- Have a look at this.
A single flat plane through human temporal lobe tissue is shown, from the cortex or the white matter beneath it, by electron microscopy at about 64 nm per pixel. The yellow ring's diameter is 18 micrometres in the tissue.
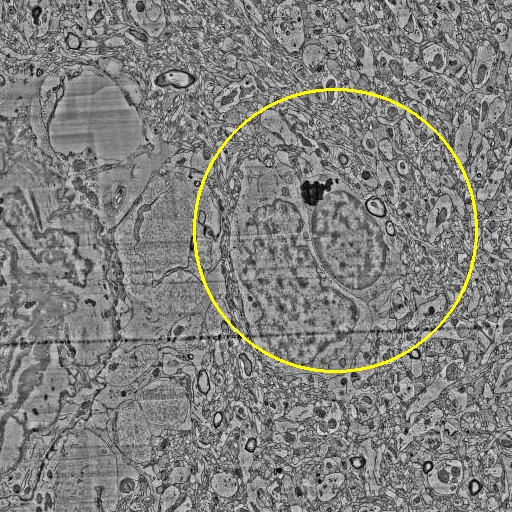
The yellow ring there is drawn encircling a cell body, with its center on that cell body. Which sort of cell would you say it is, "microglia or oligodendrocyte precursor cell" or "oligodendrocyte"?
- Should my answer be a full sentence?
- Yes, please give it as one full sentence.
For this picture, an oligodendrocyte is the cell where the yellow ring has its center.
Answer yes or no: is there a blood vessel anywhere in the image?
Yes, a vessel appears in the picture.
